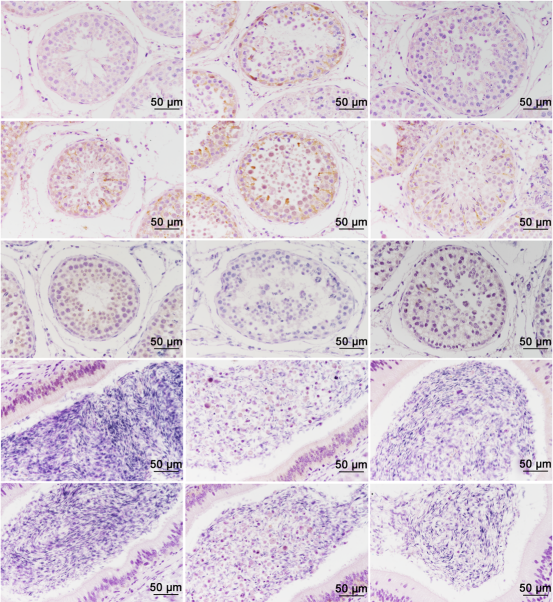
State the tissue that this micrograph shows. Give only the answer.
Testicular and epididymal tissue.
